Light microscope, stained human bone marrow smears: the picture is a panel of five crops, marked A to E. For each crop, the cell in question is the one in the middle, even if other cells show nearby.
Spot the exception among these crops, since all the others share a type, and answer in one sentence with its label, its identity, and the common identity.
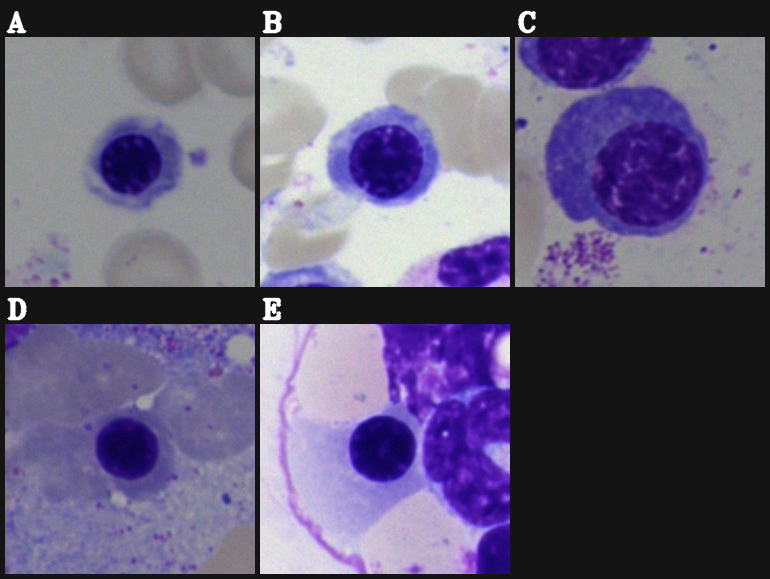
Just crop C is a plasma cell; all the other crops show erythroblasts.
